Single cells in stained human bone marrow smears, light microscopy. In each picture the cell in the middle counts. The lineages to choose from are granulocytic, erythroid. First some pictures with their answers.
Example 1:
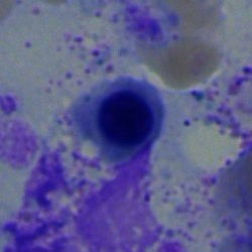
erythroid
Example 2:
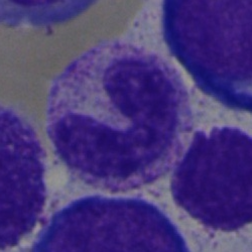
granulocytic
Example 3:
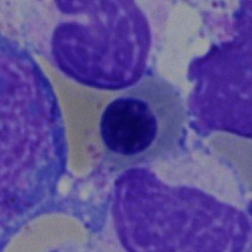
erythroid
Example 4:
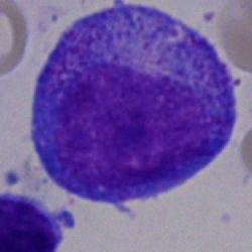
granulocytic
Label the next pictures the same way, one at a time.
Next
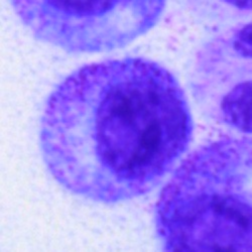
granulocytic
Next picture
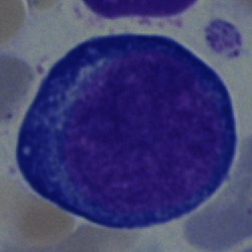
erythroid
